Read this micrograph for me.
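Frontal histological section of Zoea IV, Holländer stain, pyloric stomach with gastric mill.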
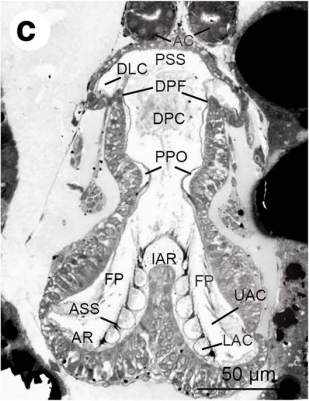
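The wall is thrown into paired folds that divide the lumen into an upper chamber with finely granular contents and a lower region. In the lower part a raised midline ridge separates two lateral filter regions, each holding a row of rounded, clear compartments outlined by thin cuticular setae. The epithelium is thickest and most densely packed around these lower compartments. Above the chamber, two darkly stained rounded tissue masses sit side by side.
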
